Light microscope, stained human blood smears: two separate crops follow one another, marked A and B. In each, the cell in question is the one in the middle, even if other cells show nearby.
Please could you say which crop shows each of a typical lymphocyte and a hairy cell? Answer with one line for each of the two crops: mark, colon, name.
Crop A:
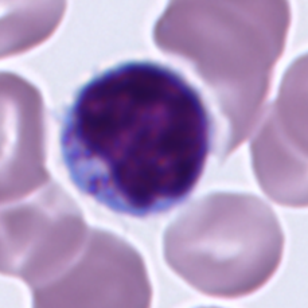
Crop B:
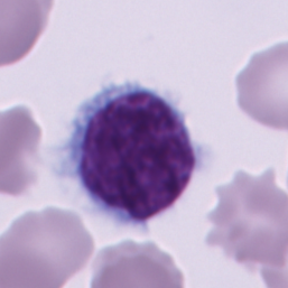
A: typical lymphocyte
B: hairy cell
